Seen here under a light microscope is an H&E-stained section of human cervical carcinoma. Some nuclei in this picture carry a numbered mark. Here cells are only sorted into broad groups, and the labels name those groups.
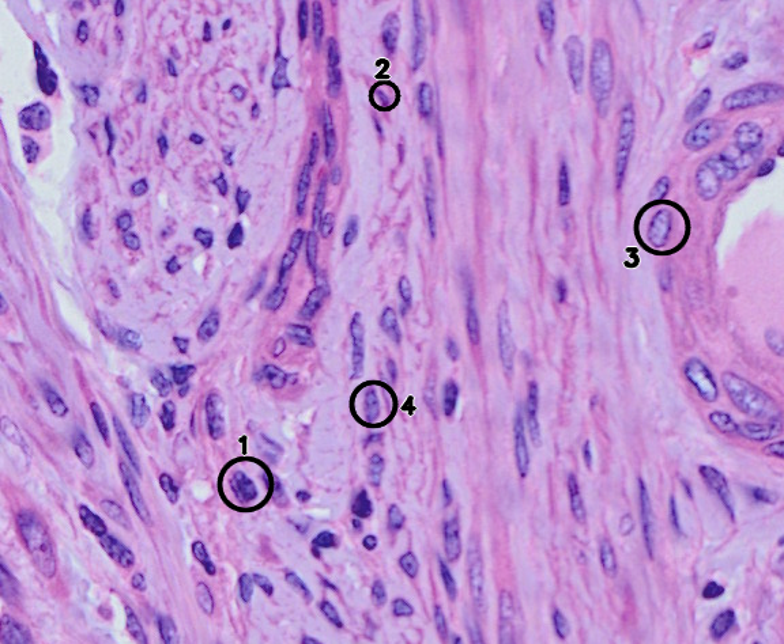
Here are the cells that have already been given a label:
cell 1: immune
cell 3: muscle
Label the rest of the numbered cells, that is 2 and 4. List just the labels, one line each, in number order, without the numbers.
muscle
muscle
